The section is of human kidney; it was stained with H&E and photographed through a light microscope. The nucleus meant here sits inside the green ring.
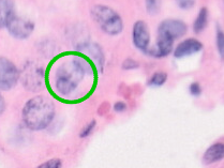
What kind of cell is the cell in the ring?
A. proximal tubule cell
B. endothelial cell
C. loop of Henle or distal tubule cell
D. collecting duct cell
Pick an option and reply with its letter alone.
D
